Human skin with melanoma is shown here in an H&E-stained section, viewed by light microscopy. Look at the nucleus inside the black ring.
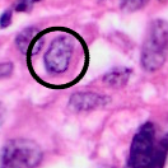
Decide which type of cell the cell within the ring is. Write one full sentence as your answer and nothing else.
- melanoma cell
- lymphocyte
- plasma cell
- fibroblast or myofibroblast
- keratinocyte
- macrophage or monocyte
In this tissue section, the cell within the ring is to be classed as a melanoma cell.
